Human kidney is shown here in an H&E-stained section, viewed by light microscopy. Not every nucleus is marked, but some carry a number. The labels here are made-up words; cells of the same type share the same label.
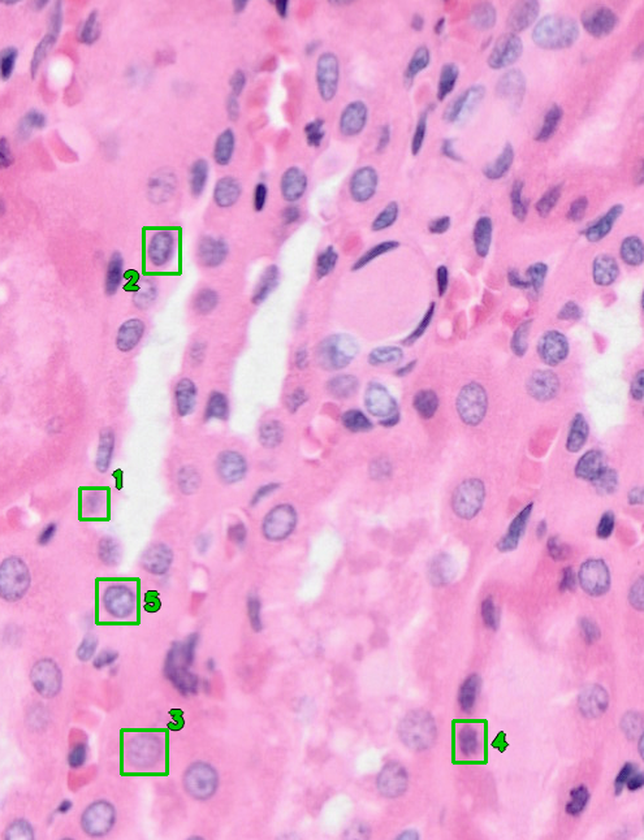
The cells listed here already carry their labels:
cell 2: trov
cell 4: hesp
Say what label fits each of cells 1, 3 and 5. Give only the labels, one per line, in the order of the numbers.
trov
hesp
trov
